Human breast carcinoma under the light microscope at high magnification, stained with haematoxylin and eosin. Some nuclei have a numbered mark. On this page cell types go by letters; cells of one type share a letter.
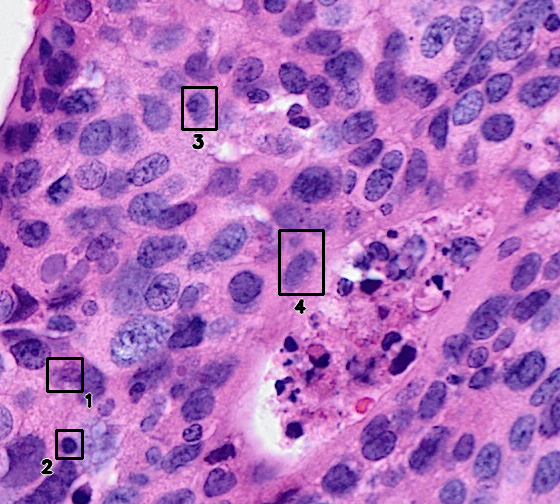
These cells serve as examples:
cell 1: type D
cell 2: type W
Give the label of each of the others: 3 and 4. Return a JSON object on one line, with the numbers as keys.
{"3": "type D", "4": "type D"}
